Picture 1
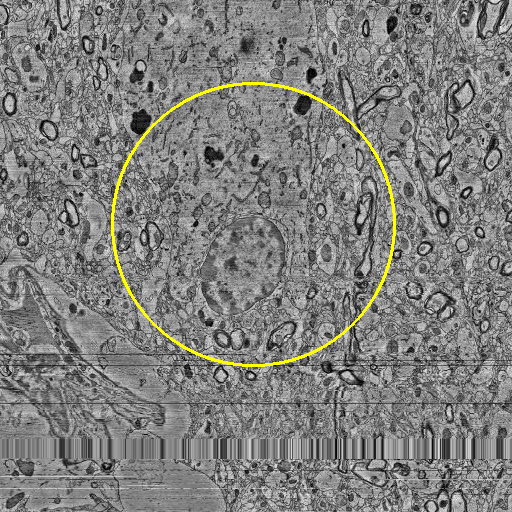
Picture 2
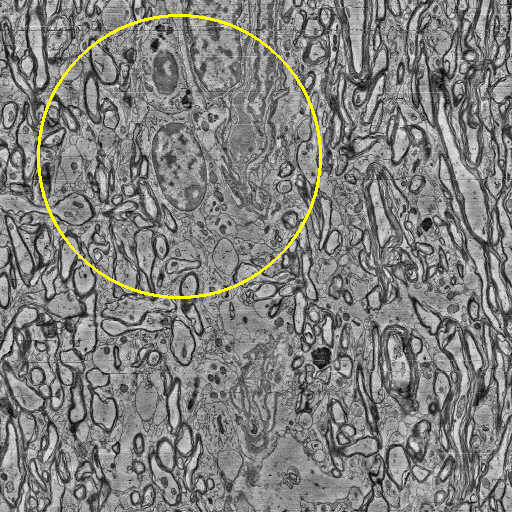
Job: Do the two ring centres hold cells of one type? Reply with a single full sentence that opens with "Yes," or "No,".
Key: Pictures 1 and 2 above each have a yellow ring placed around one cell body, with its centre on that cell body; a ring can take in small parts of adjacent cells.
Yes, the cells at the two ring centres are of one single type.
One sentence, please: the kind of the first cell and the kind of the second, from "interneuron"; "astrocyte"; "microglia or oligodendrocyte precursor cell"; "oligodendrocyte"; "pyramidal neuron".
The first and the second cell are each a microglial cell or oligodendrocyte precursor cell.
